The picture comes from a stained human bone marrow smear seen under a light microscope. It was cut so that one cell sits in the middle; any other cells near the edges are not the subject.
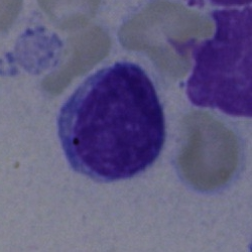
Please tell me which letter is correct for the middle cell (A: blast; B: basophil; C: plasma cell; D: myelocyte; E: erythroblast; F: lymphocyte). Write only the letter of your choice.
F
